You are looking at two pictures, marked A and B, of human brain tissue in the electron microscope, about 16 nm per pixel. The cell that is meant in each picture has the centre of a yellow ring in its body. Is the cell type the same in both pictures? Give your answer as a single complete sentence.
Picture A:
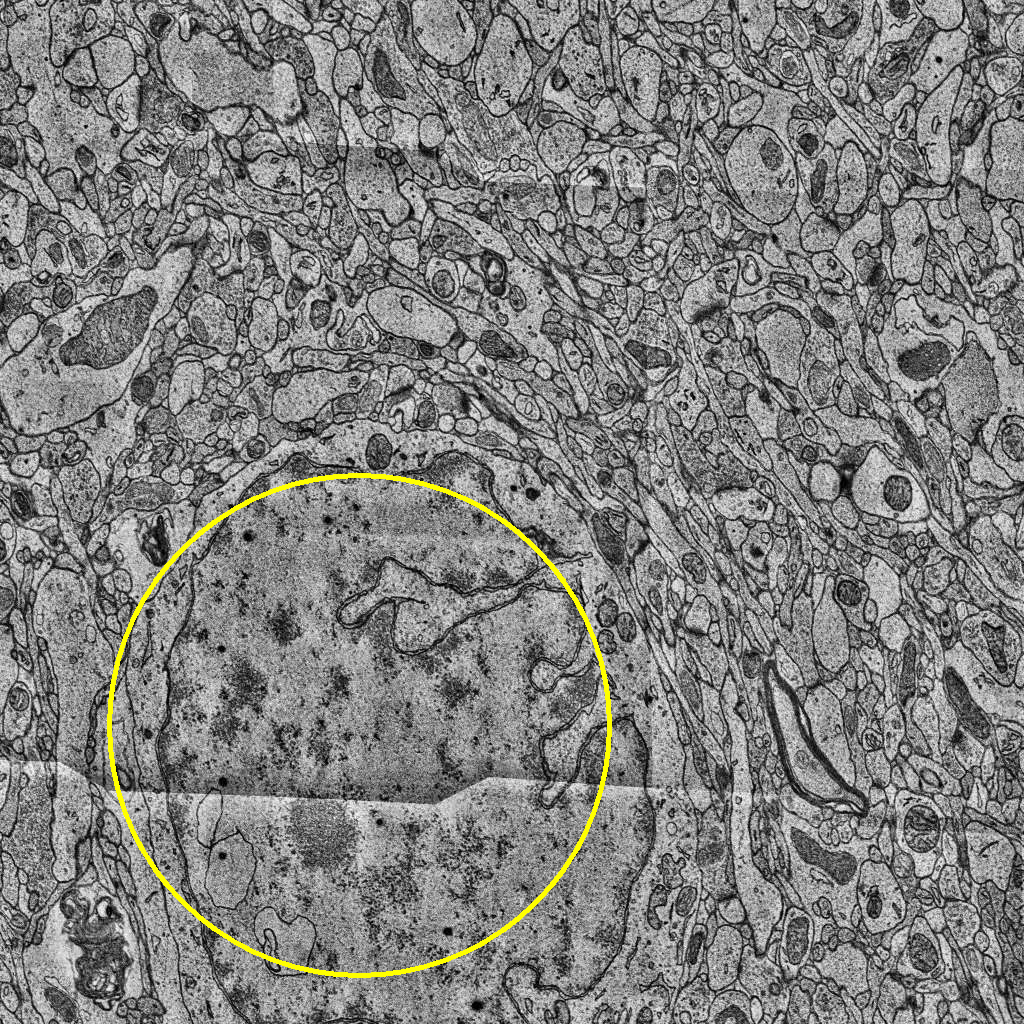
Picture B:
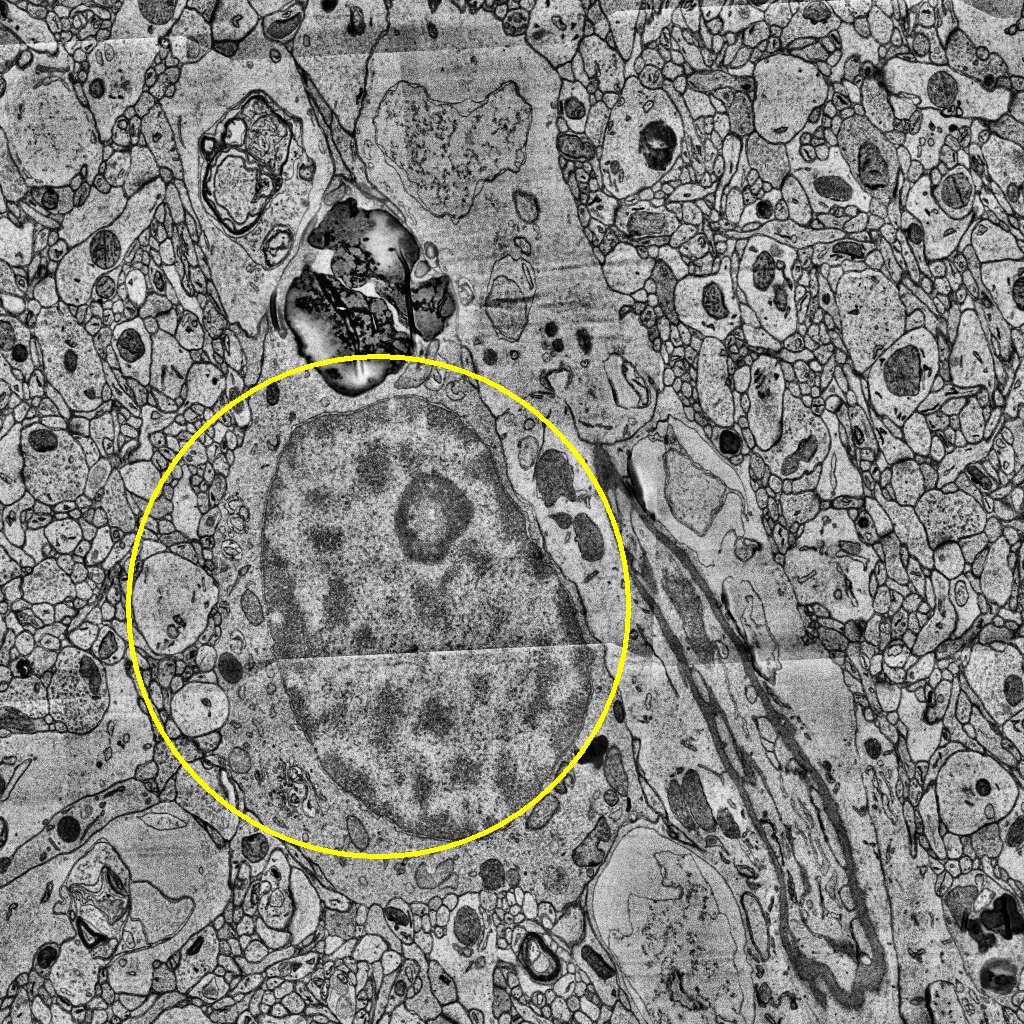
No, the types are not the same, since picture A shows an interneuron and picture B an oligodendrocyte.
